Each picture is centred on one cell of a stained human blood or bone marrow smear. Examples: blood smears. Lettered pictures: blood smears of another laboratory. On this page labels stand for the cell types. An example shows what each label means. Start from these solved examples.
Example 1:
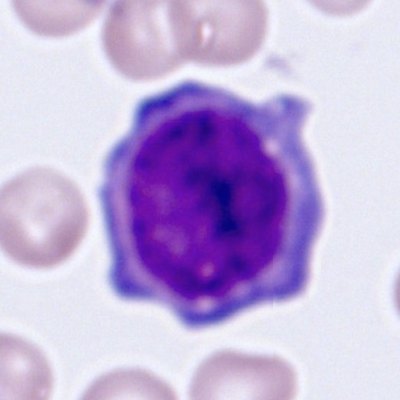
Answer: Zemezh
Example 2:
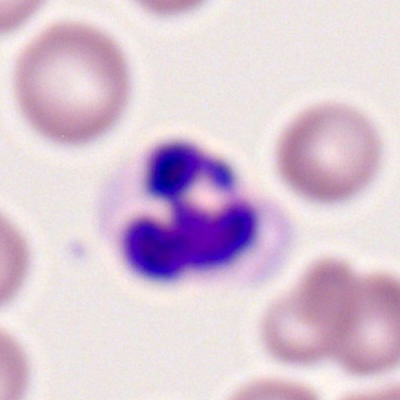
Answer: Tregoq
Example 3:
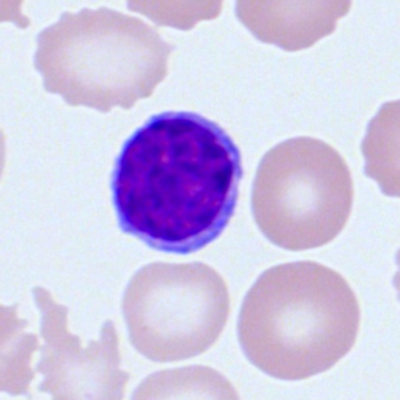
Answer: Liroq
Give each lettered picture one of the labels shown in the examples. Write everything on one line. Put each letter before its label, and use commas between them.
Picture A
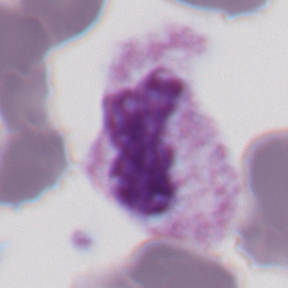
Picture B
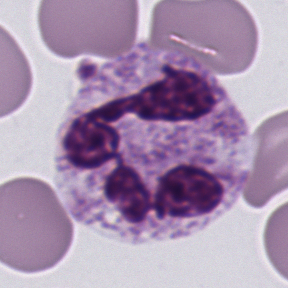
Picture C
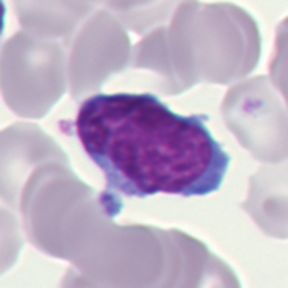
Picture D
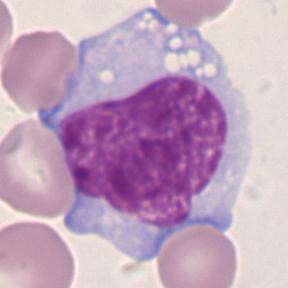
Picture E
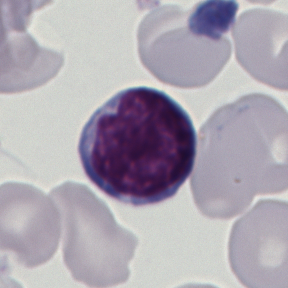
A Tregoq, B Tregoq, C Liroq, D Zemezh, E Liroq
